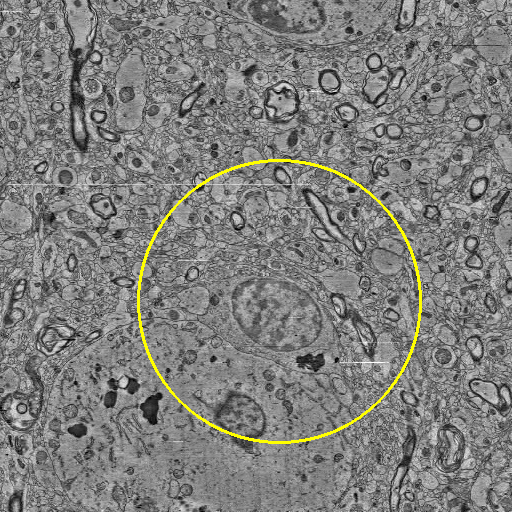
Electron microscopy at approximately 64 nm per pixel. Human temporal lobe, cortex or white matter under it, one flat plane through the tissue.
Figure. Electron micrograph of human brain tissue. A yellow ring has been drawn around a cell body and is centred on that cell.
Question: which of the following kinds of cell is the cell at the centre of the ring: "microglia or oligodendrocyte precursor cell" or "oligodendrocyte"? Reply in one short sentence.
The cell at the centre of the ring is an oligodendrocyte.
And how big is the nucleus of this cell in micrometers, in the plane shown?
The nucleus comes to roughly 6 by 4 micrometres in this plane.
